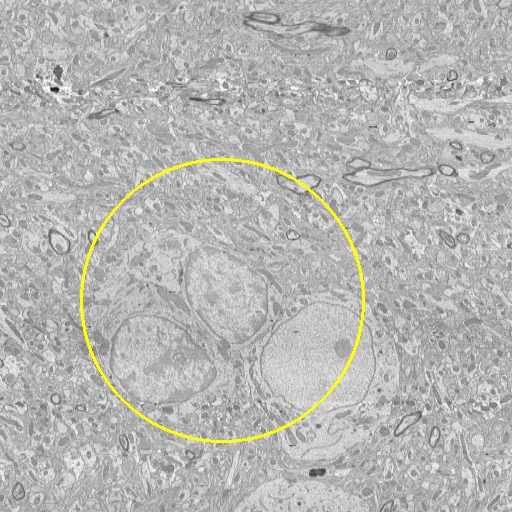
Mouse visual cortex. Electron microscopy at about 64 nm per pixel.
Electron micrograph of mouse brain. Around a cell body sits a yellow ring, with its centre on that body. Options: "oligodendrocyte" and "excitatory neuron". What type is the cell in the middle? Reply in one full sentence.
The cell sitting at the centre of the yellow ring is an oligodendrocyte.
